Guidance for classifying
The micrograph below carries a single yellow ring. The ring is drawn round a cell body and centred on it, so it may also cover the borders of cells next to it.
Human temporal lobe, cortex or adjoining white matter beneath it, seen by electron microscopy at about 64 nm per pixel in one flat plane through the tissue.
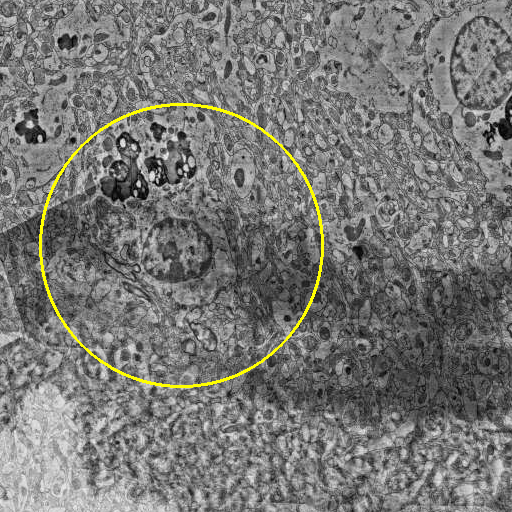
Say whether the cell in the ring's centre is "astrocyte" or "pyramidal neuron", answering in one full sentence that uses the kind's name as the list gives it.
Within the yellow ring, an astrocyte is the cell whose body sits at the centre.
